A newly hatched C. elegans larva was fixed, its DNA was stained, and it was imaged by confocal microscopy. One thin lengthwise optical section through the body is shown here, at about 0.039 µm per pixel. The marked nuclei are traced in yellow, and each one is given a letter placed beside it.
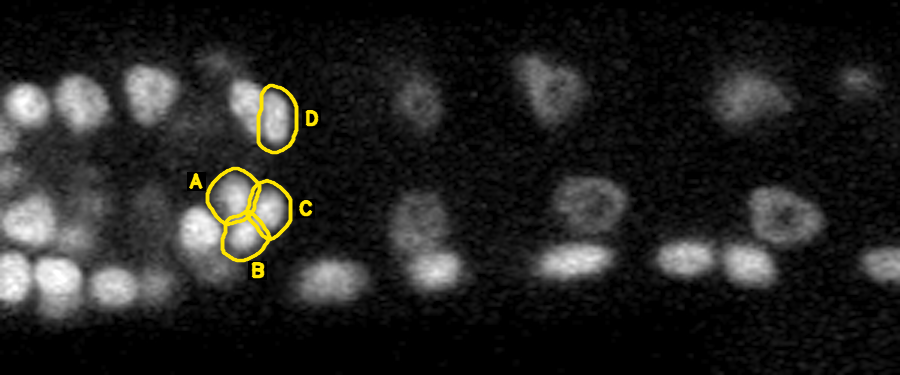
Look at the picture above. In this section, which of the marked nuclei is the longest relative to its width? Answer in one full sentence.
D is the most elongated.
